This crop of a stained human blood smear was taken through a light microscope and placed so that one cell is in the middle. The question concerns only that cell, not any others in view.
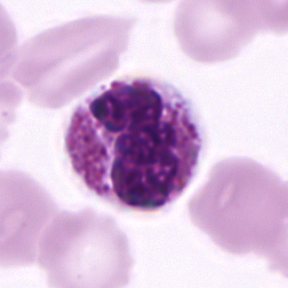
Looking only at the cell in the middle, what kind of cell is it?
eosinophil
